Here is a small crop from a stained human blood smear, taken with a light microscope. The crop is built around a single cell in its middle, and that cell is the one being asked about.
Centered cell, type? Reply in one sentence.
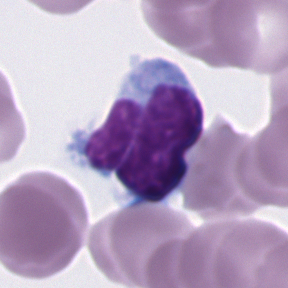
The target cell in the middle of the crop is a typical lymphocyte.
